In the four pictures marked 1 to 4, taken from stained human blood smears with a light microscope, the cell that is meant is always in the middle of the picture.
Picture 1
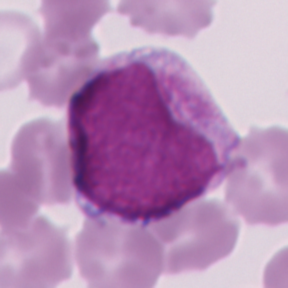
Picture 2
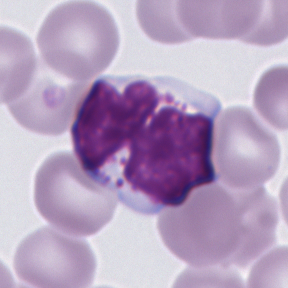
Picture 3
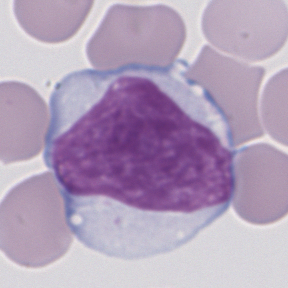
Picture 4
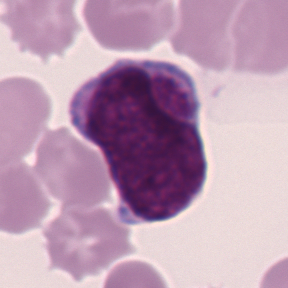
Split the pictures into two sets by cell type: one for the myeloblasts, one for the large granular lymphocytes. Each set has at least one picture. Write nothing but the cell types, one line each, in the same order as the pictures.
myeloblast
large granular lymphocyte
myeloblast
myeloblast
